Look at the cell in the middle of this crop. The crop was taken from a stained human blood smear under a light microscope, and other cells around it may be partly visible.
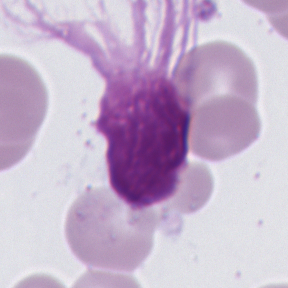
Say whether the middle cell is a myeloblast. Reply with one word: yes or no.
no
